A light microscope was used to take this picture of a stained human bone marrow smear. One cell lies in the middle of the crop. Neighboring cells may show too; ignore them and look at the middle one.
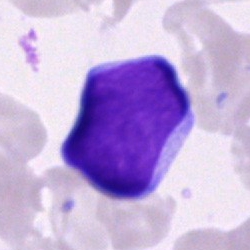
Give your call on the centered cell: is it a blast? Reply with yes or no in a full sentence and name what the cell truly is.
Yes, in this crop the cell in the middle is a blast.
